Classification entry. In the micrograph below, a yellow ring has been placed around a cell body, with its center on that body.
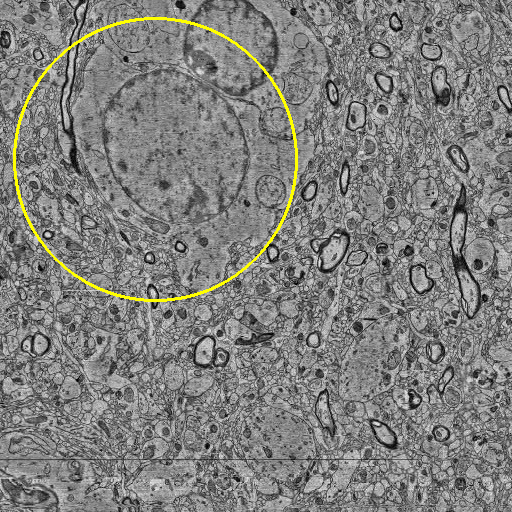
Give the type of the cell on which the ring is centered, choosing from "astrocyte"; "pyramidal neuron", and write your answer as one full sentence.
The cell body at the center of the yellow ring belongs to an astrocyte.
